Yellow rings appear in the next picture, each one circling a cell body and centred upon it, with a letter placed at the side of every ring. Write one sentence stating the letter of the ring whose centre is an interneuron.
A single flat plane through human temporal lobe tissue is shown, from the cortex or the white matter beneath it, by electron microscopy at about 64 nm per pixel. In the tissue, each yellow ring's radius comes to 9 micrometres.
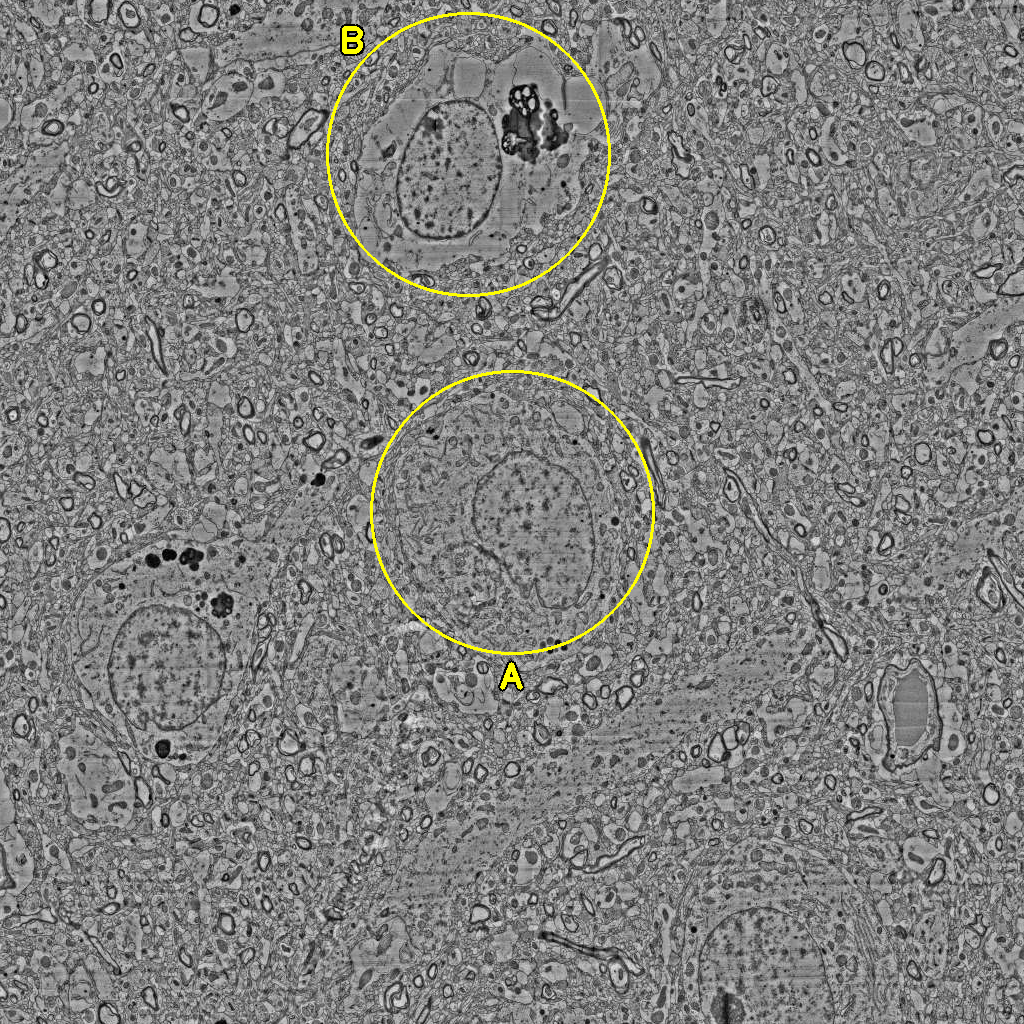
In the picture, the cell asked for lies at the centre of ring A.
